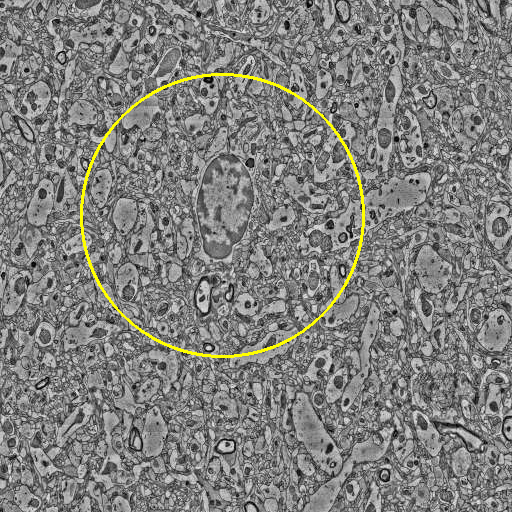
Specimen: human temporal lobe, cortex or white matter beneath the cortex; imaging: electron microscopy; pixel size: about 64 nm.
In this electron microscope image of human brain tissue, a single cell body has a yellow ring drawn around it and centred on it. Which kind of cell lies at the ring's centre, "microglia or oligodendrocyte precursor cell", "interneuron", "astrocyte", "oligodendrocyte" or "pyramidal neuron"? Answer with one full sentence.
It is a microglial cell or oligodendrocyte precursor cell whose cell body lies at the centre of the yellow ring here.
